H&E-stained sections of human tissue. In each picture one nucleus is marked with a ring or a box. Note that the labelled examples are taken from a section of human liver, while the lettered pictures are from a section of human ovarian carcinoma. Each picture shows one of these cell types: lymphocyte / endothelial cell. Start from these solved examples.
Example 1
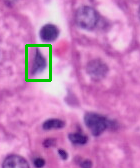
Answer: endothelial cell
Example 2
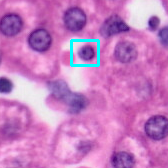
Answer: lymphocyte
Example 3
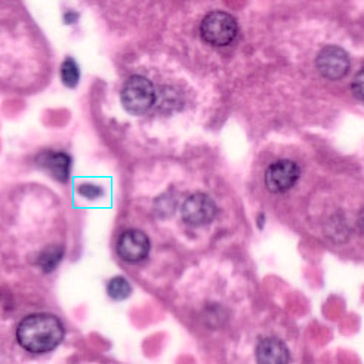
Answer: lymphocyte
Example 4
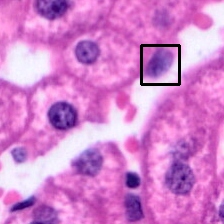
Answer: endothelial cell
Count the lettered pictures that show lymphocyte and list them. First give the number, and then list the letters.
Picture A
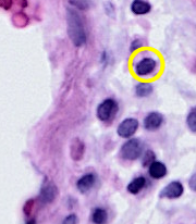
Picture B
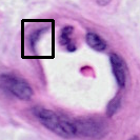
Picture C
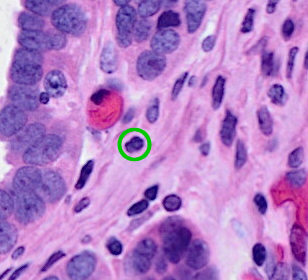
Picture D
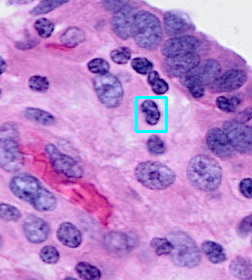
Count: 3 (A, C, D)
